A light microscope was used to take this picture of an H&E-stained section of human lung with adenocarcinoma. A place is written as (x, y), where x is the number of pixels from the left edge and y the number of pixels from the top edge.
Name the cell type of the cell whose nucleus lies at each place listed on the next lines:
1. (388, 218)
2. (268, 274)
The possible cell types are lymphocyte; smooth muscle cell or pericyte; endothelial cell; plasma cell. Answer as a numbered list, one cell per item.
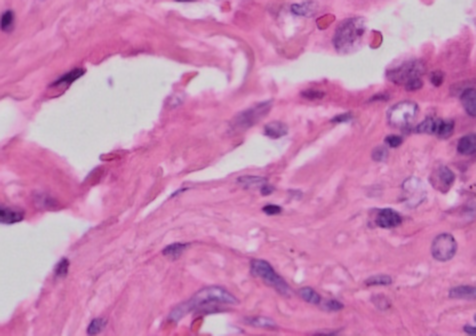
1. plasma cell
2. smooth muscle cell or pericyte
